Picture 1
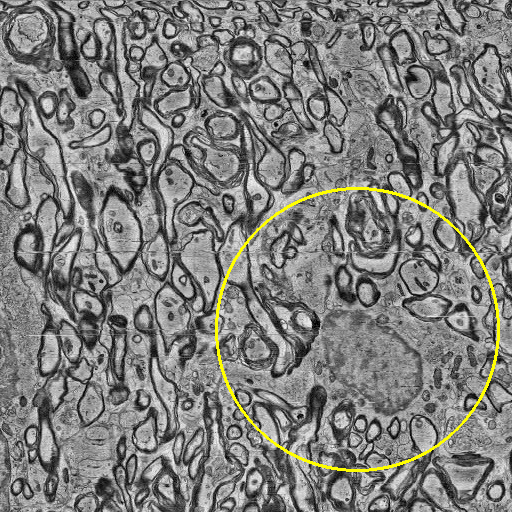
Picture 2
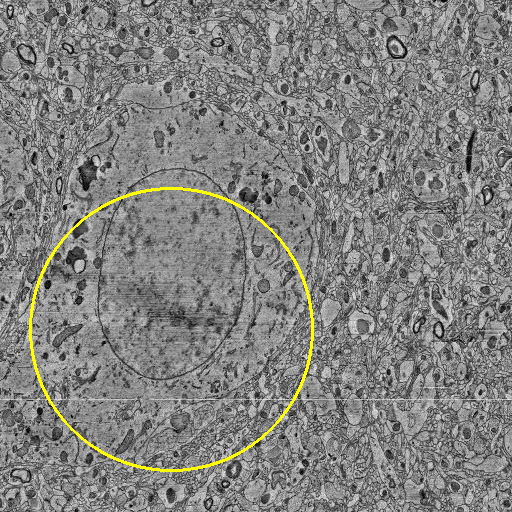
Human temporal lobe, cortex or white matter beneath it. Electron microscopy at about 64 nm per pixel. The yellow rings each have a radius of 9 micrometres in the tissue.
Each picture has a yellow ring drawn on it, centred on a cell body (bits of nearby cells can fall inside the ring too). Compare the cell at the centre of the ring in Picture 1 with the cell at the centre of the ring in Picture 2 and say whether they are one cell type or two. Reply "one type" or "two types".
two types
